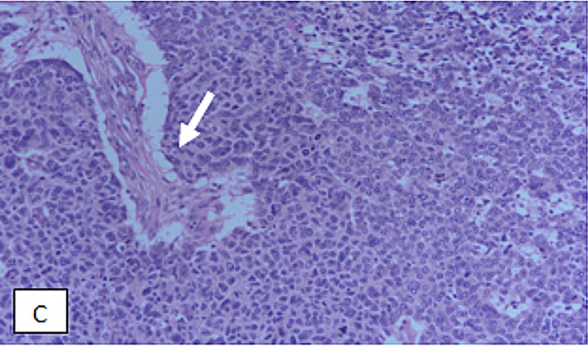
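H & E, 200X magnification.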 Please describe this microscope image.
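This shows a solid sheet of tumour cells crossed by a fibrovascular core. The core is a narrow band of pink connective tissue with spindle-shaped cells, set off from the tumour by a cleft-like space. The tumour cells around it are crowded, with round to oval purple nuclei and scant pale cytoplasm, and they line up along the core's edge.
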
